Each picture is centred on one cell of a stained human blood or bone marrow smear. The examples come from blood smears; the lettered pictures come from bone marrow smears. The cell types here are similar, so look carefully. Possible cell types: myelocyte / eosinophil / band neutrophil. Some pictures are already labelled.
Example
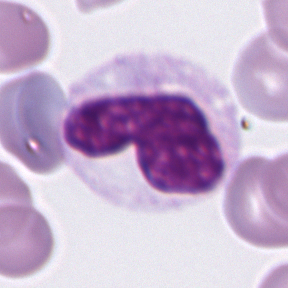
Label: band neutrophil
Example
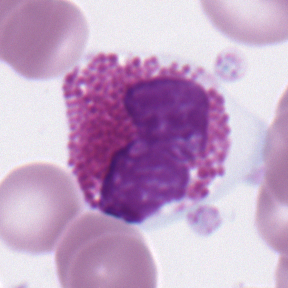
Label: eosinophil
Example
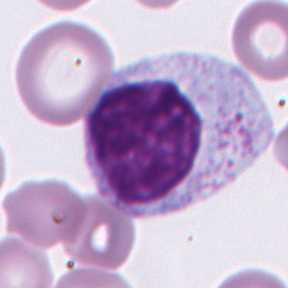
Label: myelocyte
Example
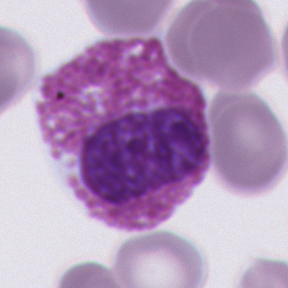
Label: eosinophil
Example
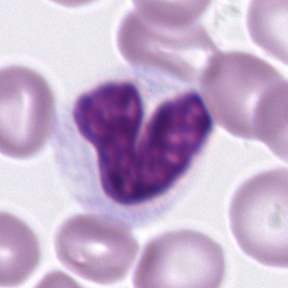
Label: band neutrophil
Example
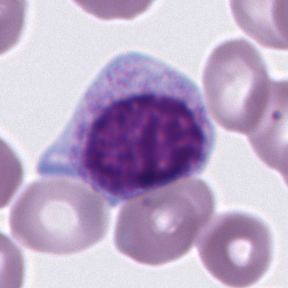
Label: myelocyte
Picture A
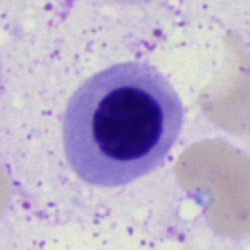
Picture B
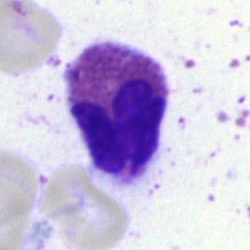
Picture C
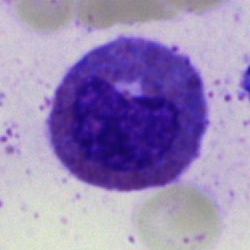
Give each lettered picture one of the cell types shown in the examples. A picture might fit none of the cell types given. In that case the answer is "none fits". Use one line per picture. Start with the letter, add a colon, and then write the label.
A: none fits
B: eosinophil
C: eosinophil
